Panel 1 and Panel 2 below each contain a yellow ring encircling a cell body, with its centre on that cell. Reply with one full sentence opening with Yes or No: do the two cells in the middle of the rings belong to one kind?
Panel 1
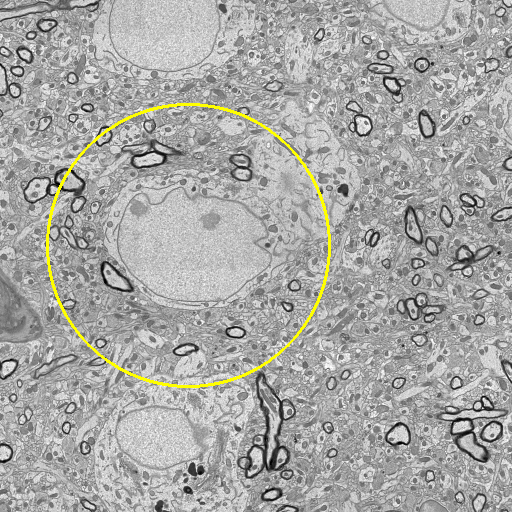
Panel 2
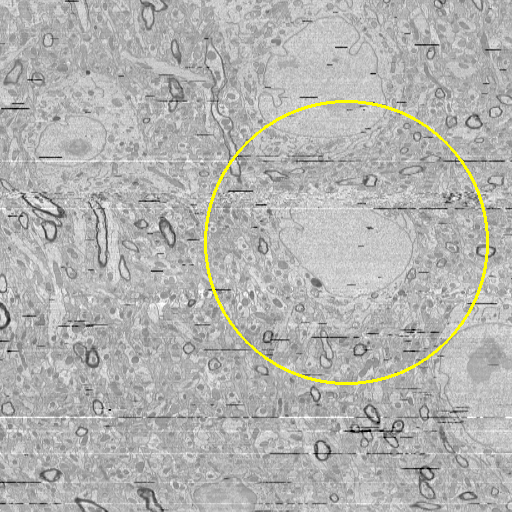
Yes, the cells at the middle of the Panel 1 ring and the Panel 2 ring are of one kind.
